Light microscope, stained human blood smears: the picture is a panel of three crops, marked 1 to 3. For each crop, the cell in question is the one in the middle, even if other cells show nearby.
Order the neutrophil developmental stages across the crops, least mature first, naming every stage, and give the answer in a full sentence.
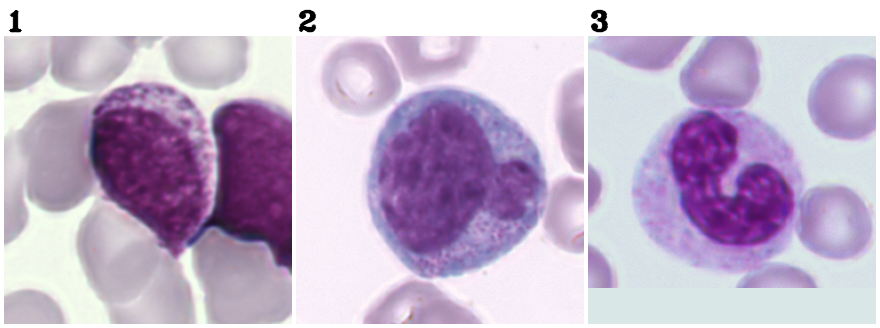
From the earliest stage to the most mature one, the order is crop 2 (a promyelocyte), crop 1 (a myelocyte) and crop 3 (a band neutrophil).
